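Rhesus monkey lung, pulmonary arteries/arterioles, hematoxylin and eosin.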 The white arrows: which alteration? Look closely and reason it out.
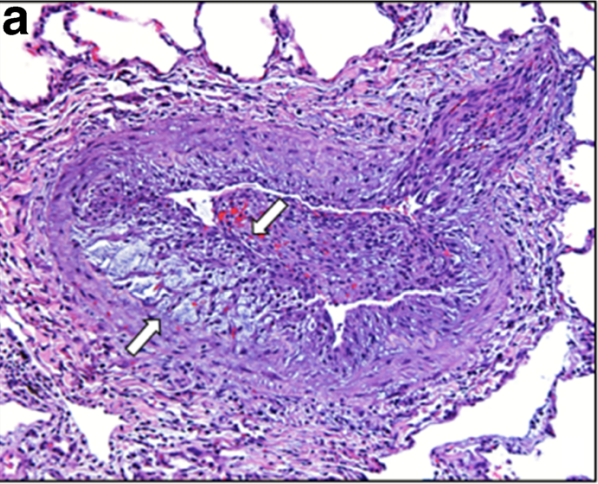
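The inner layer of the artery wall is very thick and irregular. The lumen is reduced to narrow slit-like clefts. A pale bluish fibrillar area lies within the thickened inner layer.
Answer: thickening of the intimal layer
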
